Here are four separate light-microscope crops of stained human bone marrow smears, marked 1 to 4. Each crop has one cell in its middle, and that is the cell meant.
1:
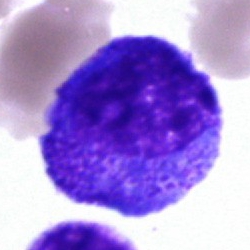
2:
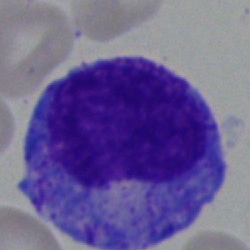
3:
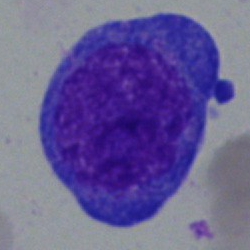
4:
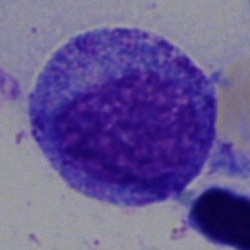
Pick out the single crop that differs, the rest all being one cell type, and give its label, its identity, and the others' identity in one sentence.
Crop 3 differs from its companions, showing a blast where they show promyelocytes.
